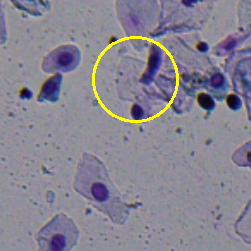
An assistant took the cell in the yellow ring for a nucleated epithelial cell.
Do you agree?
I disagree, it is a cornified epithelial cell.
